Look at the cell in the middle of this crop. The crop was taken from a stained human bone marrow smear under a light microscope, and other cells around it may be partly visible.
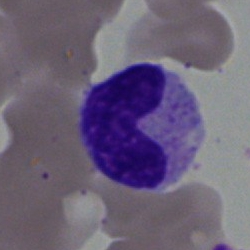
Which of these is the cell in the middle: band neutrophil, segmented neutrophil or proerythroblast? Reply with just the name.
band neutrophil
